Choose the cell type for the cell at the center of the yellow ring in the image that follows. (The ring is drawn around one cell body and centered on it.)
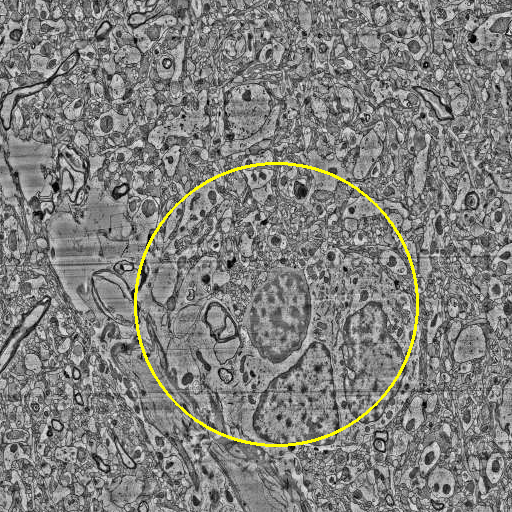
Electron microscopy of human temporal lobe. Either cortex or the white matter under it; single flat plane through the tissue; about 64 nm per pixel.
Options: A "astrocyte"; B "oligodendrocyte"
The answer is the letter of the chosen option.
B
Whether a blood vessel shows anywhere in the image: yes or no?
Yes, one is visible.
